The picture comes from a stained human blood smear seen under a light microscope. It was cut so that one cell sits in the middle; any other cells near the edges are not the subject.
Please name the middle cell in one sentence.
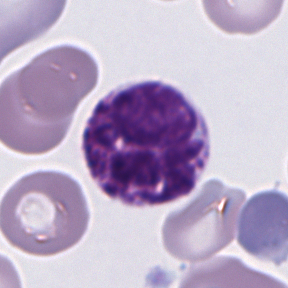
The cell occupying the middle of the crop is a basophil.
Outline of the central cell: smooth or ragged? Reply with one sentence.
Expected answer: a smooth cell outline without projections of any sort.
